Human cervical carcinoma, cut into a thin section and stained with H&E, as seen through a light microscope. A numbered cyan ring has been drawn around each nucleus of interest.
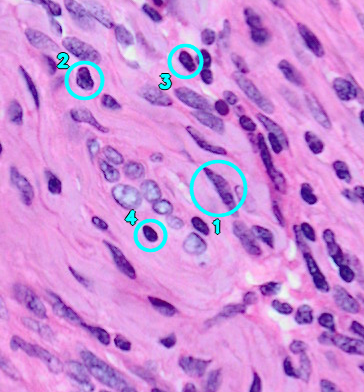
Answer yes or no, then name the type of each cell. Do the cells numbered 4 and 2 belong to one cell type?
Yes, cell 4 is counted among the lymphocytes, as is cell 2.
